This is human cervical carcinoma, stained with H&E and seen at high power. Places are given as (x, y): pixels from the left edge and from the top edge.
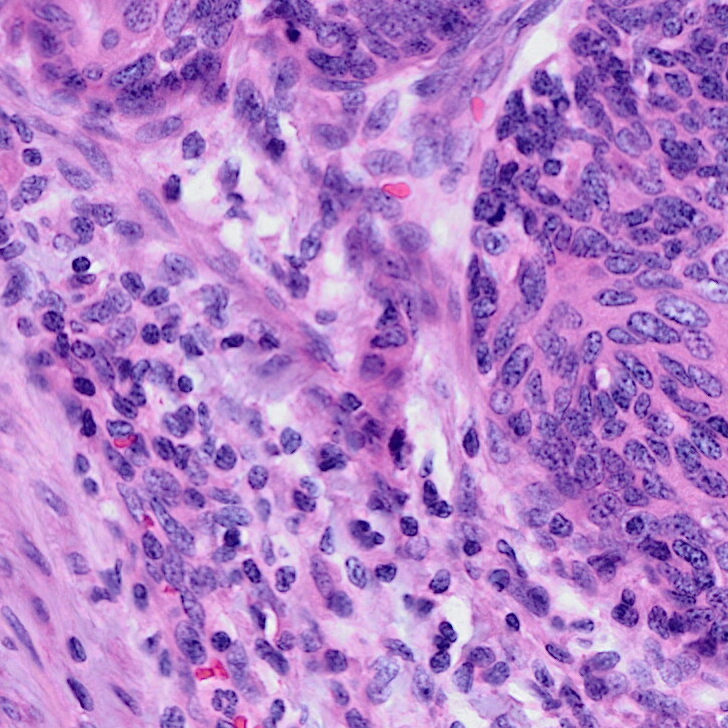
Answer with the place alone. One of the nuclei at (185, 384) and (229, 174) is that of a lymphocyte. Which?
(185, 384)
